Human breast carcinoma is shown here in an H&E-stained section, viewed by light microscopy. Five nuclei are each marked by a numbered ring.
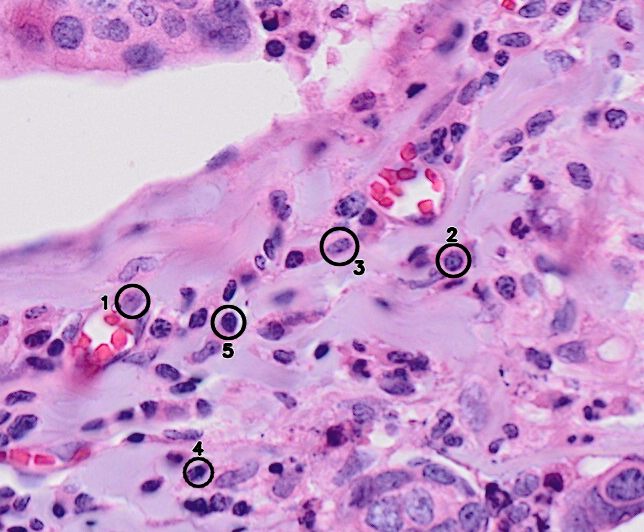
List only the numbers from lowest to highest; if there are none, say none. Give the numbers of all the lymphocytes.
4, 5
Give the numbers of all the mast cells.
2, 3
